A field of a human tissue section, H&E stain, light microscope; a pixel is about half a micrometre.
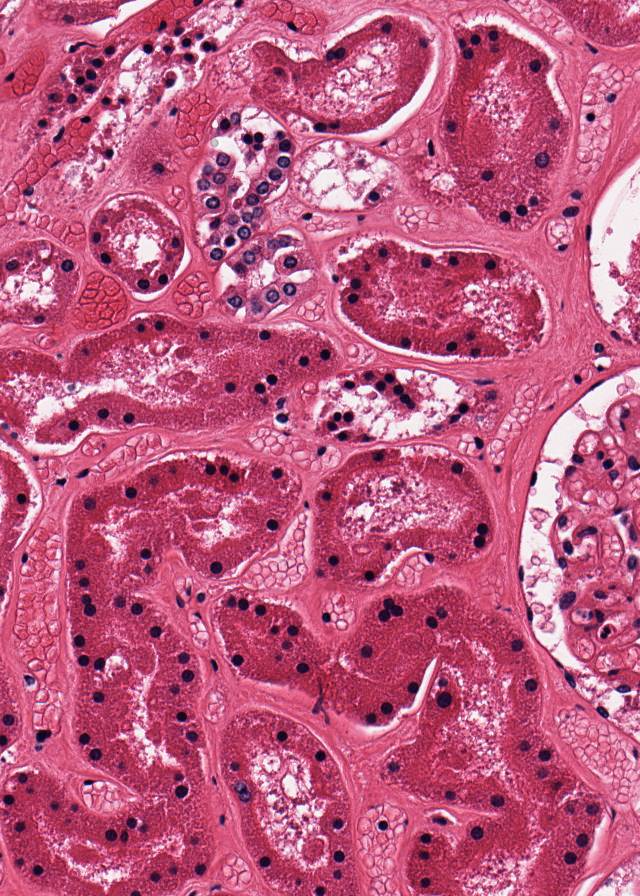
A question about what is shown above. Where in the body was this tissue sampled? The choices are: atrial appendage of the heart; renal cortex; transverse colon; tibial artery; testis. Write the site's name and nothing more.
renal cortex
